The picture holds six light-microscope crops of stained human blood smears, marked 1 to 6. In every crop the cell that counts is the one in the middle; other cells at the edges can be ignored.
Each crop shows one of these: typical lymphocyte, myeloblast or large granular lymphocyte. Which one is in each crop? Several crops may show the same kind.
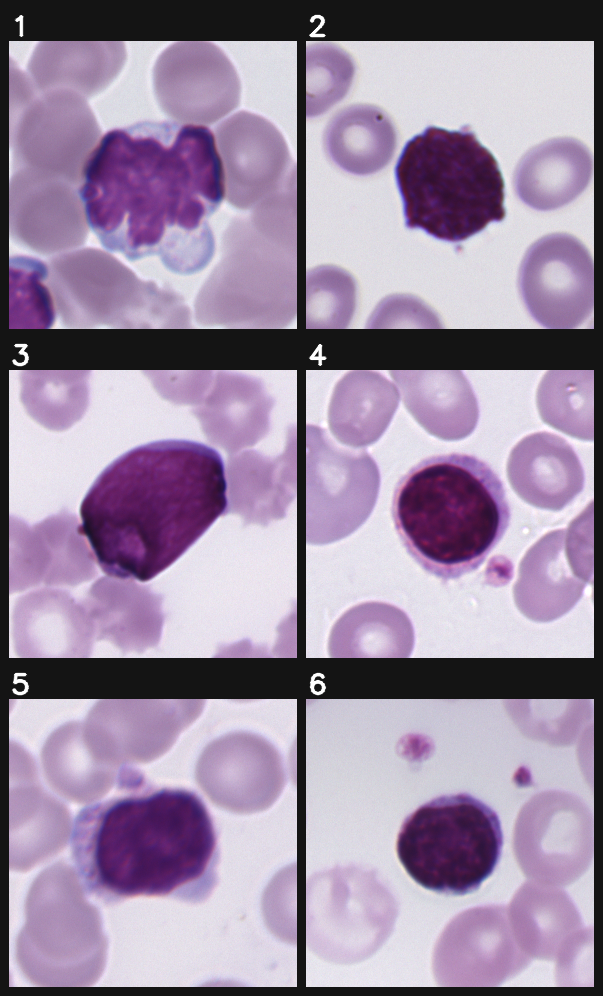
1: large granular lymphocyte
2: myeloblast
3: myeloblast
4: large granular lymphocyte
5: typical lymphocyte
6: typical lymphocyte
